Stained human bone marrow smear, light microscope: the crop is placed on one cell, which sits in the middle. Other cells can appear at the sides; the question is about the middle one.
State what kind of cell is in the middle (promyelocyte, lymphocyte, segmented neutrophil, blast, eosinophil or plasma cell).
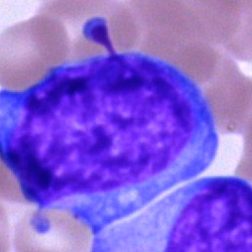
blast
